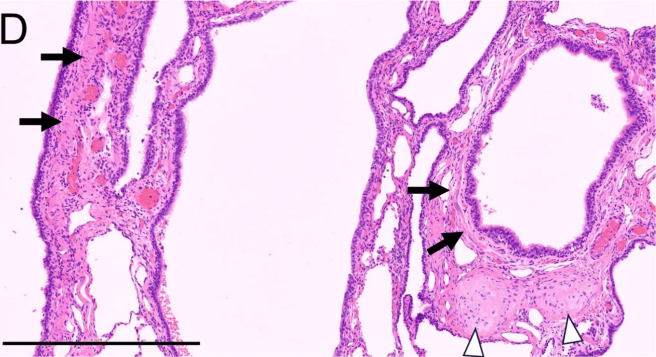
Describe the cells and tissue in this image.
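This section shows the walls of lung cysts lined by a dark purple layer of columnar epithelium with crowded nuclei. Directly beneath the lining runs a pink band of elongated spindle cells, smooth muscle, following the contour of the cyst. The wall also holds loose connective tissue with small blood vessels. At the lower right, in the wall of a rounded cyst, lie small pale pink nodules of cartilage with rounded cells set in a smooth glassy matrix.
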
